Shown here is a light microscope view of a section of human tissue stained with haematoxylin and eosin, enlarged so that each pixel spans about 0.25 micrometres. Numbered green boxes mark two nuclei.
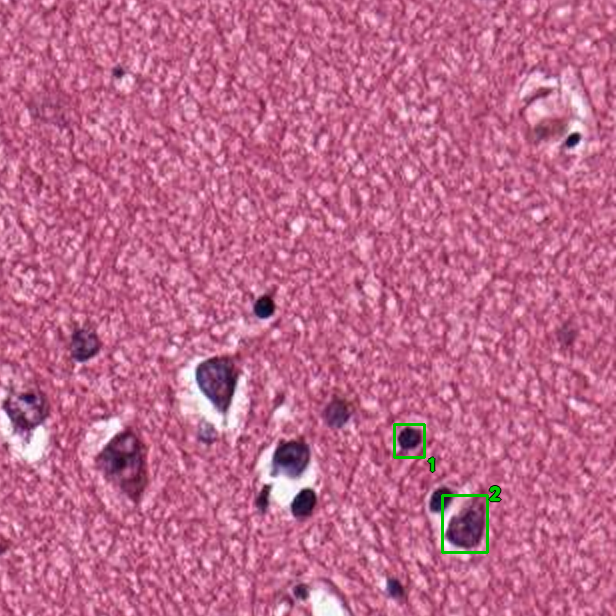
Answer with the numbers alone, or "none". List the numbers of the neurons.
2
